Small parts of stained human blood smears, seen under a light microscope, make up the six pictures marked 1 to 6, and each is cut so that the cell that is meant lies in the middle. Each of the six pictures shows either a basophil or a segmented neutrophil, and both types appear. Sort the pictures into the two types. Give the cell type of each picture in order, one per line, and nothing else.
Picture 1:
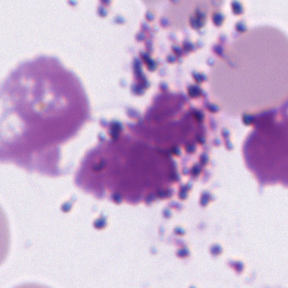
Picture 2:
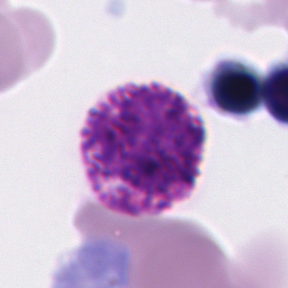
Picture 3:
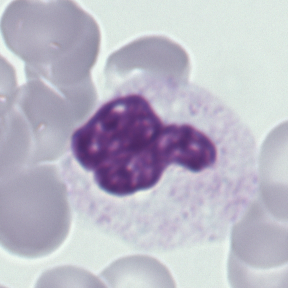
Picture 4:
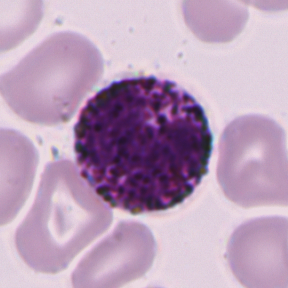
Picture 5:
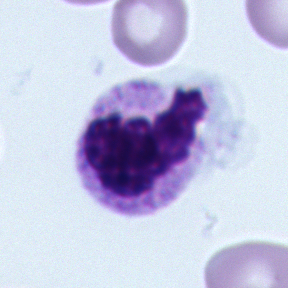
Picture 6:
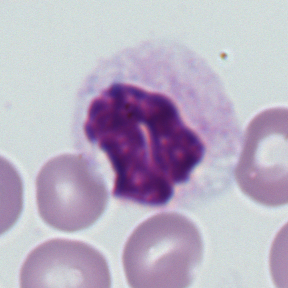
basophil
basophil
segmented neutrophil
basophil
segmented neutrophil
segmented neutrophil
